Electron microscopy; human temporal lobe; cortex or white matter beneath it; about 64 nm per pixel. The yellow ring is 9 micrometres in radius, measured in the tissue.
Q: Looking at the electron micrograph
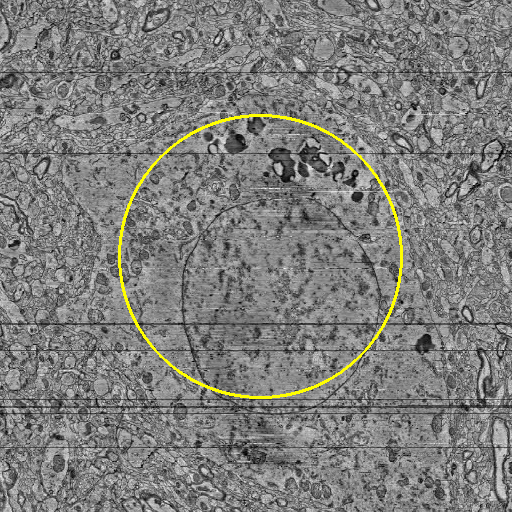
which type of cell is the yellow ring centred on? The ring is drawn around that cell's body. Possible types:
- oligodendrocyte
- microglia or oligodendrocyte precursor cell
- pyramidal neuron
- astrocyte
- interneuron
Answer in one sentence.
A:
The yellow ring is centred on a pyramidal neuron.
